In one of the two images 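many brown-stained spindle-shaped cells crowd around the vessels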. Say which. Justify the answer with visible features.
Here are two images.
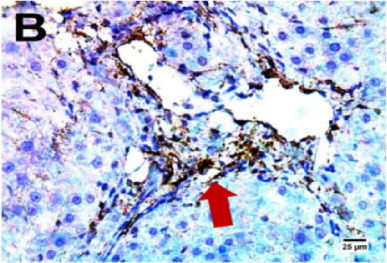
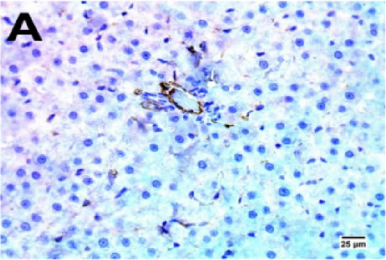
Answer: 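Second image: only a few thin brown strands among the hepatocytes. First image: dense brown-stained elongated cells and strands encircle several large lumina. The answer: the first image.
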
